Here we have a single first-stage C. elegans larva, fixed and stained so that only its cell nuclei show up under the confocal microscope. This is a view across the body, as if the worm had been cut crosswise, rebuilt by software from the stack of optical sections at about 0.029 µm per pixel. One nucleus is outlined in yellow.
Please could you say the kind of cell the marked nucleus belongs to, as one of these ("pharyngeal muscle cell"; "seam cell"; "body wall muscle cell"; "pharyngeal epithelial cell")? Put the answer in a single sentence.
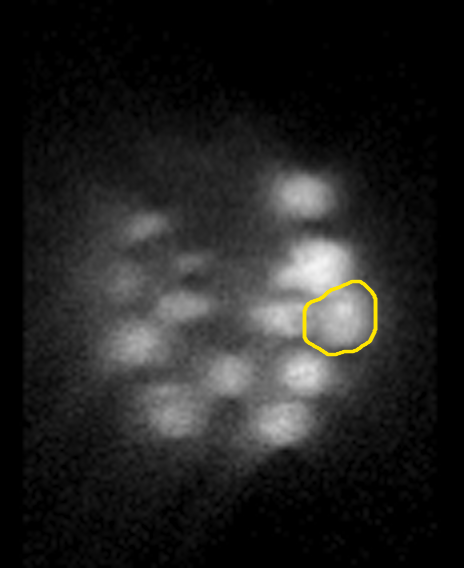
The marked nucleus belongs to a seam cell.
